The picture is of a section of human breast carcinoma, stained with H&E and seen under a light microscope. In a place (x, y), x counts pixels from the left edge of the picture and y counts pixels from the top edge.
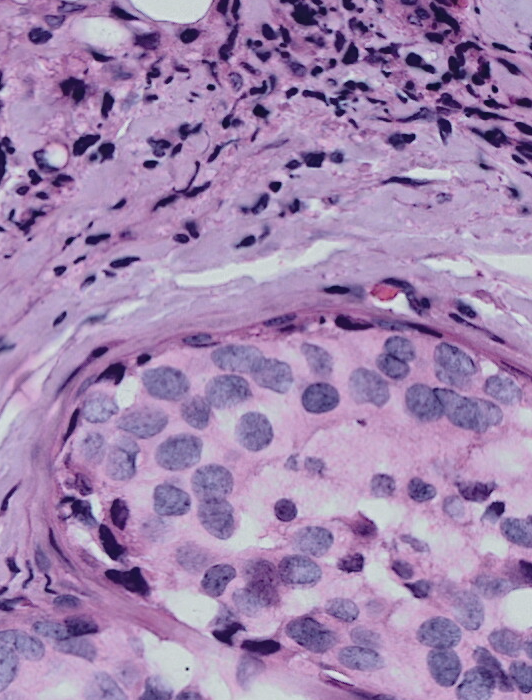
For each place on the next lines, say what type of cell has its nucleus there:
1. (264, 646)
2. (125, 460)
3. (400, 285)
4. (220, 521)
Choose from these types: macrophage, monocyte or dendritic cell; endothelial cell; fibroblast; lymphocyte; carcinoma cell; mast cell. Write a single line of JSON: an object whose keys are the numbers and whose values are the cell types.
{"1": "carcinoma cell", "2": "carcinoma cell", "3": "endothelial cell", "4": "carcinoma cell"}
